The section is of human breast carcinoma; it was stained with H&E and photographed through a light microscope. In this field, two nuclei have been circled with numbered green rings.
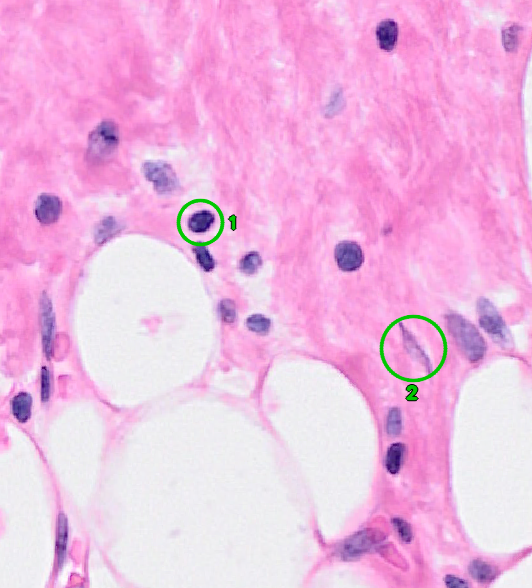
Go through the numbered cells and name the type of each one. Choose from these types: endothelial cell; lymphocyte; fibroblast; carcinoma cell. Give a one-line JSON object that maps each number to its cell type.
{"1": "lymphocyte", "2": "fibroblast"}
